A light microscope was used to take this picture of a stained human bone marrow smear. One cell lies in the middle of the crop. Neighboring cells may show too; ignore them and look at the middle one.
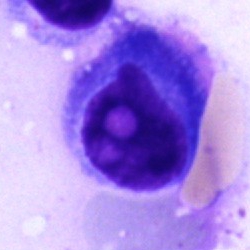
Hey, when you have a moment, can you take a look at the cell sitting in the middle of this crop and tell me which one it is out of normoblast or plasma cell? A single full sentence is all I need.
The cell the crop is centered on is a plasma cell.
